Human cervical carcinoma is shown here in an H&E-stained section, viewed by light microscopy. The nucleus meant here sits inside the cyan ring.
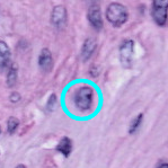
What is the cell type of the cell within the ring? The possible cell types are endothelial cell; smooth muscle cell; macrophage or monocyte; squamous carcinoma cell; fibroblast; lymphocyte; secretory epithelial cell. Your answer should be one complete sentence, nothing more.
The correct response here is that the cell within the ring is a smooth muscle cell.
